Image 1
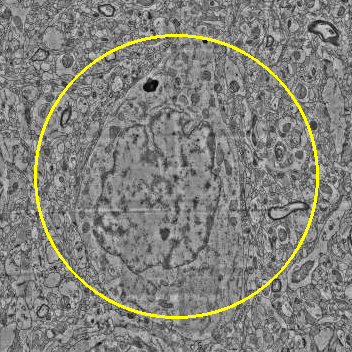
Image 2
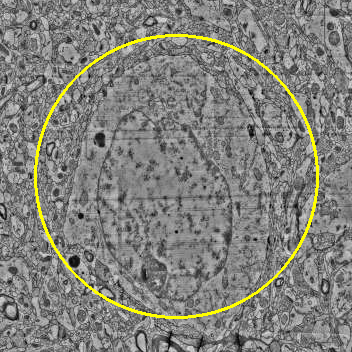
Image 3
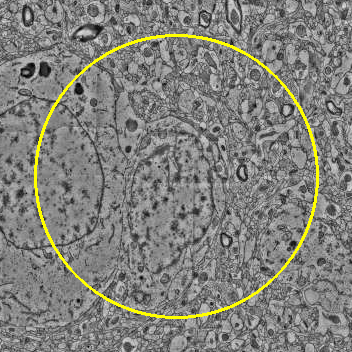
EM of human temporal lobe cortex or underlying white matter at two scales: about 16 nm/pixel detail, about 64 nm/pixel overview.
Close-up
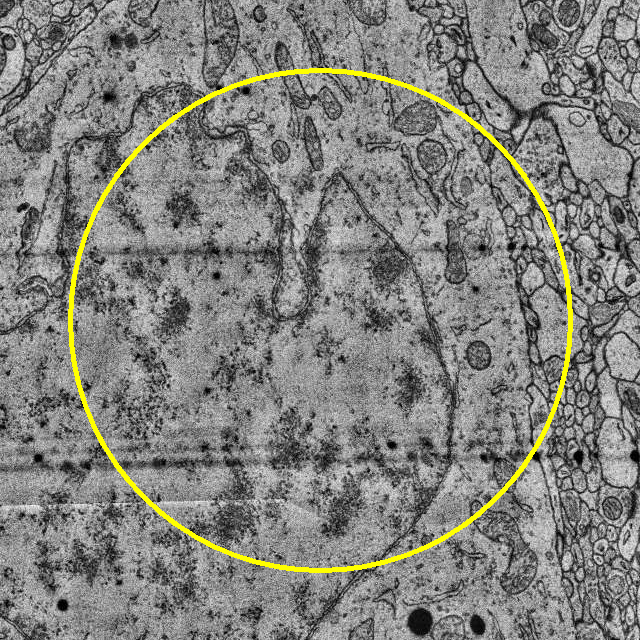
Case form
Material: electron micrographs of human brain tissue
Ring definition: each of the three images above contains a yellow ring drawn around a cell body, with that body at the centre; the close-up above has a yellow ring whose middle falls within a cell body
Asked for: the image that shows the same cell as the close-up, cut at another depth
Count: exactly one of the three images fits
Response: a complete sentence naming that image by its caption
The enlarged cell is the same one ringed in Image 1.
